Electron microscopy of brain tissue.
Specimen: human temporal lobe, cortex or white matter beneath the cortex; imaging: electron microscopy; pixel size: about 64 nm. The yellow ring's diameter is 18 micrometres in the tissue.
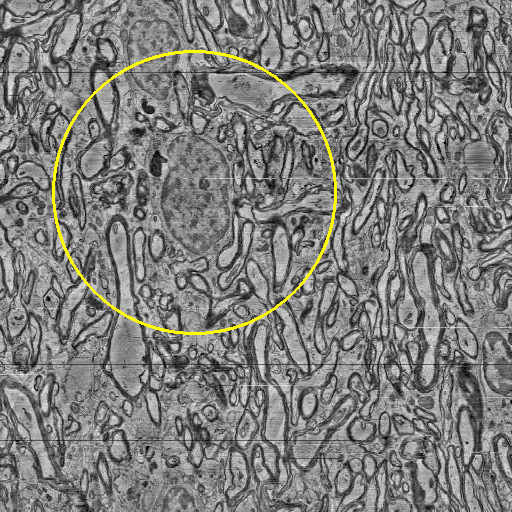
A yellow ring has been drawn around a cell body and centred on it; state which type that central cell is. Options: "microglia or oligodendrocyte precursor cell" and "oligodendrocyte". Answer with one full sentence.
The cell at the middle of the yellow ring is an oligodendrocyte in this picture.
